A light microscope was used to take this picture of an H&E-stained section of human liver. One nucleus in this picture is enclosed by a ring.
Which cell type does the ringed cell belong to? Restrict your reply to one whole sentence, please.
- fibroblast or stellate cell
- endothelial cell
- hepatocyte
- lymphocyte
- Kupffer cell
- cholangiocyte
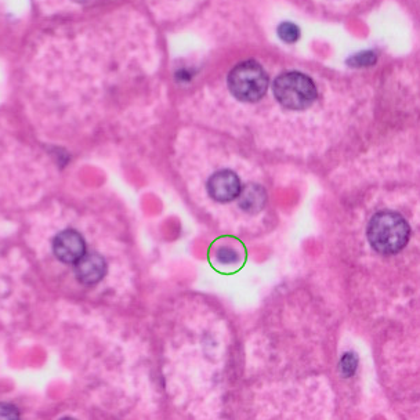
In cell-type terms, the ringed cell is a lymphocyte.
